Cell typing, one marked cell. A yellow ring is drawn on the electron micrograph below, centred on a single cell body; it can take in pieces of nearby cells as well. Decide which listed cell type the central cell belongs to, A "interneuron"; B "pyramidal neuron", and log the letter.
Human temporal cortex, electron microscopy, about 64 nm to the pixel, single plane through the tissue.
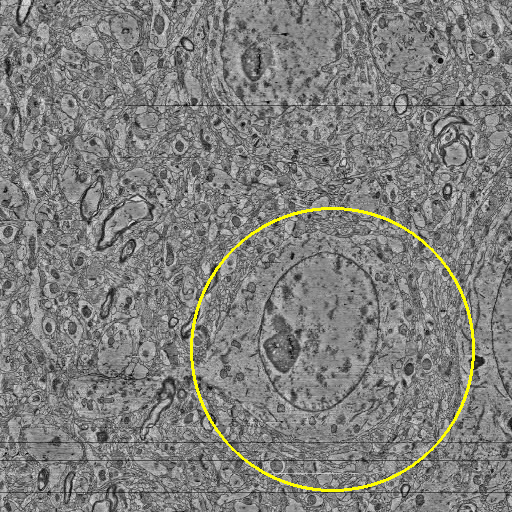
B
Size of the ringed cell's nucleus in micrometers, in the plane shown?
The nucleus has a long axis of about 11 micrometres and a short axis of about 8 micrometres in this plane.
